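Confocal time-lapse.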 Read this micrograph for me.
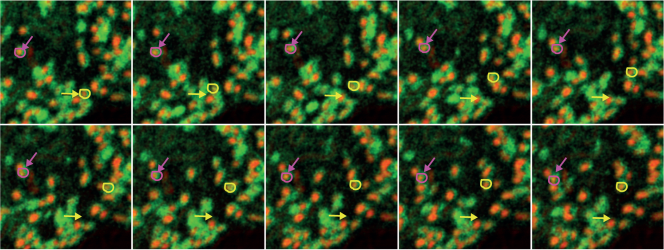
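Successive frames of a small region of cytoplasm show many small red round granules among patchy green puncta. Ringed granules can be followed from frame to frame, one staying near its starting arrow and another drifting away from it.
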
